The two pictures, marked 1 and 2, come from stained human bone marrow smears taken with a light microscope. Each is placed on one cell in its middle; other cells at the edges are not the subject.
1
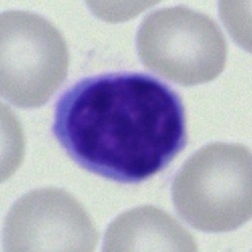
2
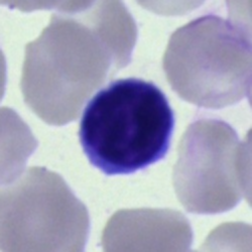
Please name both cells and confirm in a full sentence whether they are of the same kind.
Yes, both crops have lymphocytes as their central cells.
